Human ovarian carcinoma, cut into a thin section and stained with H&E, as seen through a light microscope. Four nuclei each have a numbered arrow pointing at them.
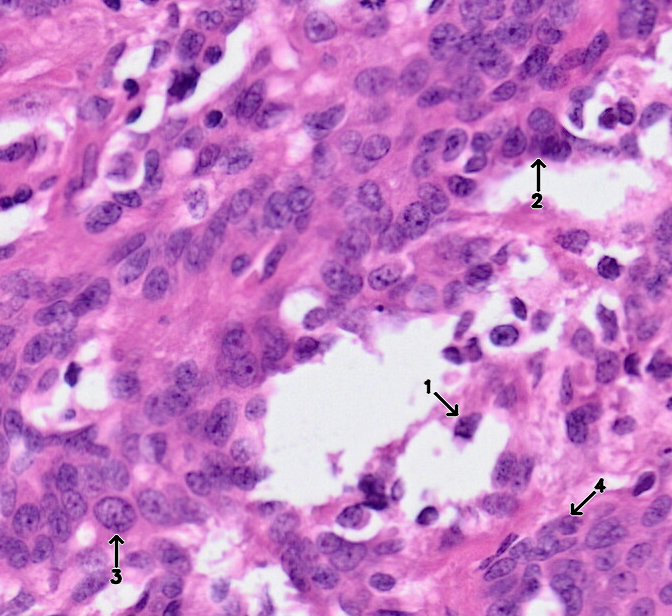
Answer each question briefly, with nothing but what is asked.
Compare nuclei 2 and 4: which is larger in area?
4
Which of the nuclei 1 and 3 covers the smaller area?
1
